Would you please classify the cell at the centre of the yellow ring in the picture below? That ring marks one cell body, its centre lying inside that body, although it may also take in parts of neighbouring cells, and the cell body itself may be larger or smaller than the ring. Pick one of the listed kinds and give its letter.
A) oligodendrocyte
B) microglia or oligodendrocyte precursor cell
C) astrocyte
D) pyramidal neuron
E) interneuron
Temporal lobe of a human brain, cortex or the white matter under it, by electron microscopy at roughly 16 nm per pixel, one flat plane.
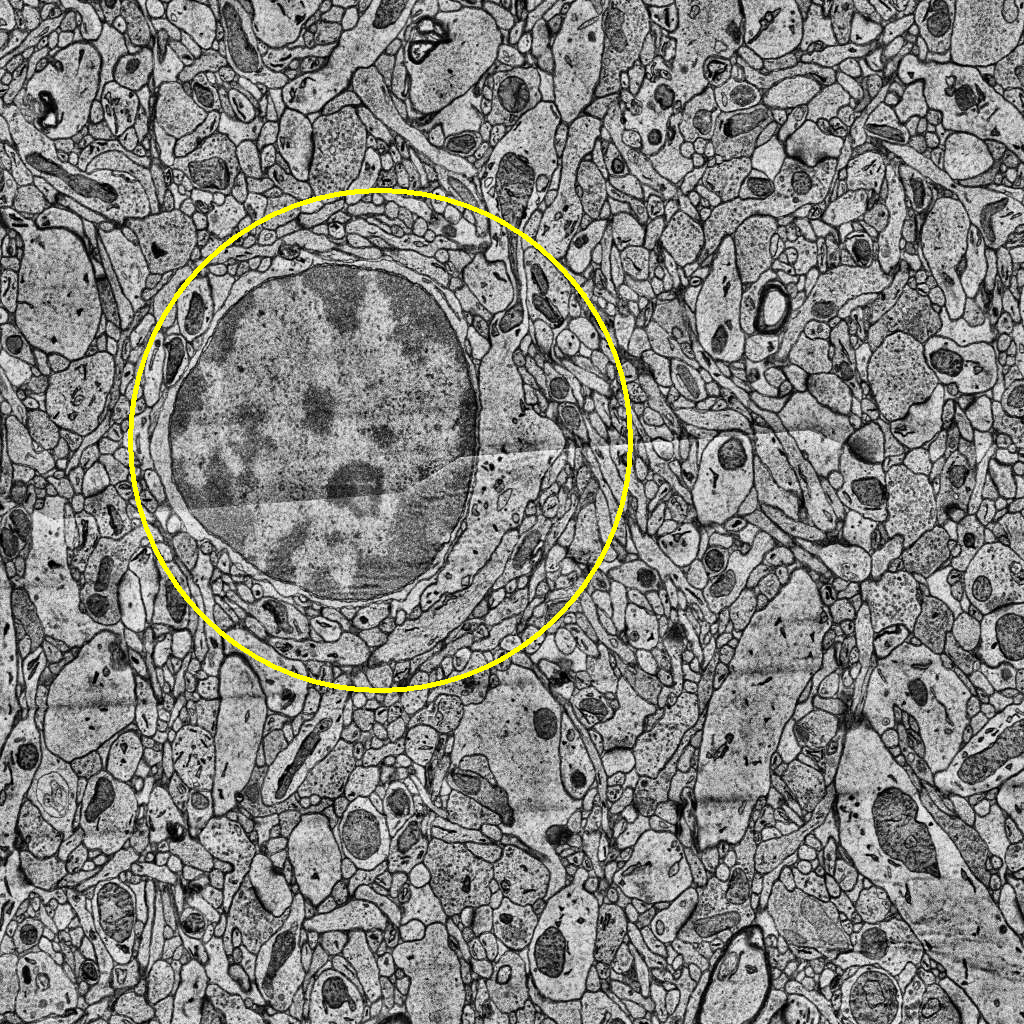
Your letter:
B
